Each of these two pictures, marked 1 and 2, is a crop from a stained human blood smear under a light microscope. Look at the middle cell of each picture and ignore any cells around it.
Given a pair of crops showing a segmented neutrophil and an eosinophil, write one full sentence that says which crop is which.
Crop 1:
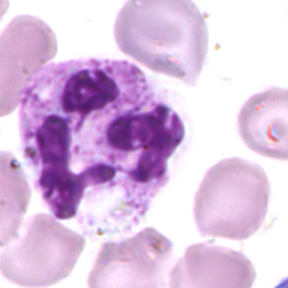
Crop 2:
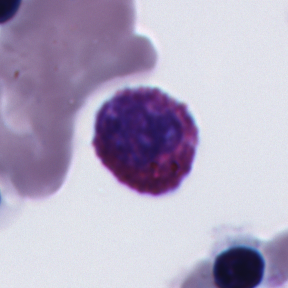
Crop 1 depicts a segmented neutrophil, and an eosinophil is depicted in crop 2.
